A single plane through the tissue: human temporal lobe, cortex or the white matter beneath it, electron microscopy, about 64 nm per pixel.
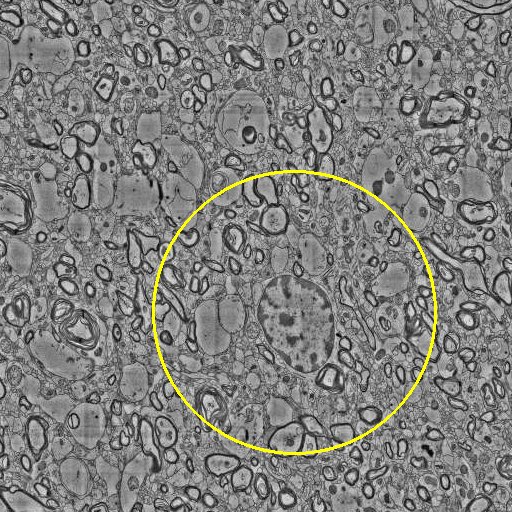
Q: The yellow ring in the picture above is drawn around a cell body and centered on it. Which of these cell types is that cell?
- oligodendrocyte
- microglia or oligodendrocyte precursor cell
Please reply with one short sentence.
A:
The cell body at the ring's center belongs to a microglial cell or oligodendrocyte precursor cell.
